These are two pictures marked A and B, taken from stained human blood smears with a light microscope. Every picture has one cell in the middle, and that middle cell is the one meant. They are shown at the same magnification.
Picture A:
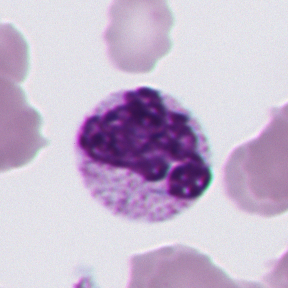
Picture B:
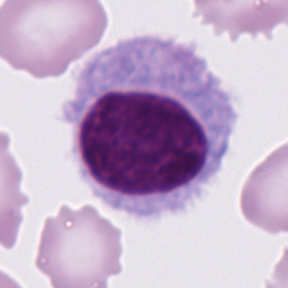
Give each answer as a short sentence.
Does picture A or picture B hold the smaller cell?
Picture A holds the smaller cell, since the cell in picture B covers about 1.5 times as much area.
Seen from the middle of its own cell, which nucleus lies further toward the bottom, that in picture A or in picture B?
It is the nucleus in picture B that lies further toward the bottom of its cell.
